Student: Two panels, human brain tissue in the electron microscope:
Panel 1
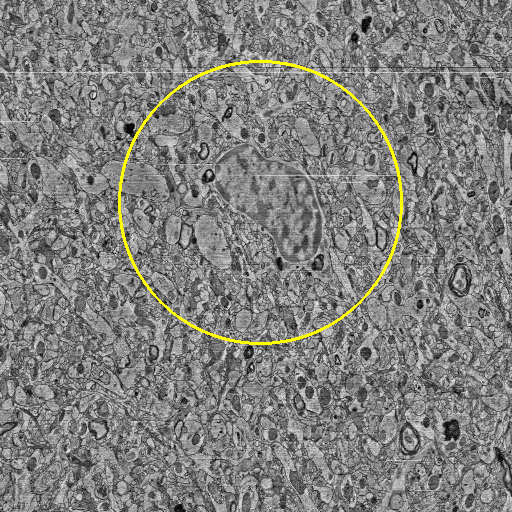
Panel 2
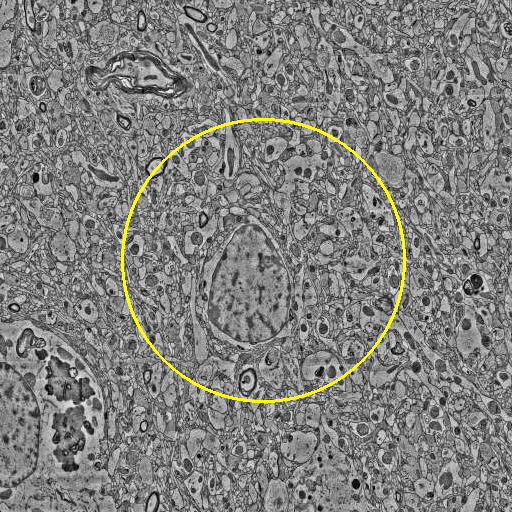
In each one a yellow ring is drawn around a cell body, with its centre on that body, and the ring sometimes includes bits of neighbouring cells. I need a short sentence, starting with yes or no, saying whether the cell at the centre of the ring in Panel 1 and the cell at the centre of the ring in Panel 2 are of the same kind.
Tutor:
Yes, they are the same kind of cell.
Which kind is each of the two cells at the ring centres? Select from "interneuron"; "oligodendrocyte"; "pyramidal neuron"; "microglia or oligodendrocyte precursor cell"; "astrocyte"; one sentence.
Each cell at the centre of a ring is a microglial cell or oligodendrocyte precursor cell.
